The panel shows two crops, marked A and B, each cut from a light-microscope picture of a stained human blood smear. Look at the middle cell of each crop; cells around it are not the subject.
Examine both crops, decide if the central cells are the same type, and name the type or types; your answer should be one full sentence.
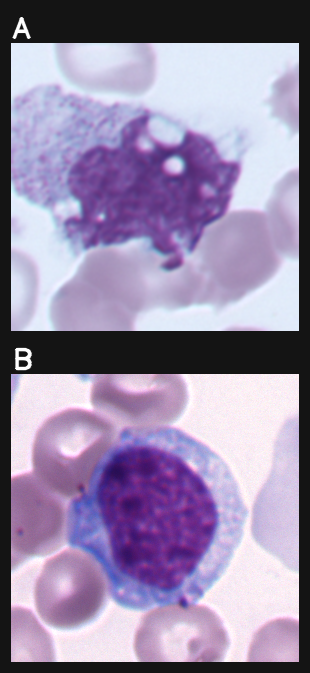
No, crop B centres on a promyelocyte, and crop A centres on a monocyte.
